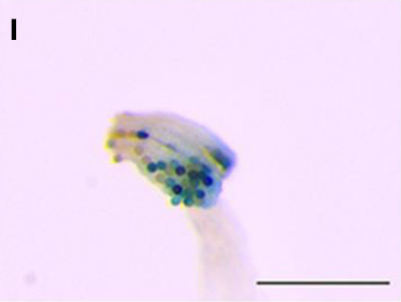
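An anther seen at low magnification, holding many pollen grains that are stained blue. The anther is an elongated, slightly curved body. The wall of the anther looks thin, translucent and faintly yellow, and some paler streaks run lengthwise along it. Below, the anther narrows into a pale, unstained stalk that fades toward the lower edge of the field. The background is plain and light pink.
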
